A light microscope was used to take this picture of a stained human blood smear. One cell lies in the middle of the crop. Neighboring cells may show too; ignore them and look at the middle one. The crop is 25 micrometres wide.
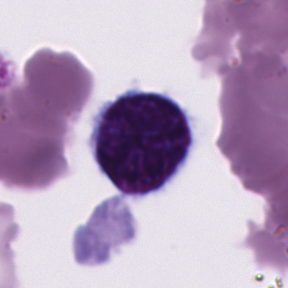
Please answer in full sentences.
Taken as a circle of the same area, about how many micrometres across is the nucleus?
Taken as a circle, the nucleus has a diameter of about 8 micrometres.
